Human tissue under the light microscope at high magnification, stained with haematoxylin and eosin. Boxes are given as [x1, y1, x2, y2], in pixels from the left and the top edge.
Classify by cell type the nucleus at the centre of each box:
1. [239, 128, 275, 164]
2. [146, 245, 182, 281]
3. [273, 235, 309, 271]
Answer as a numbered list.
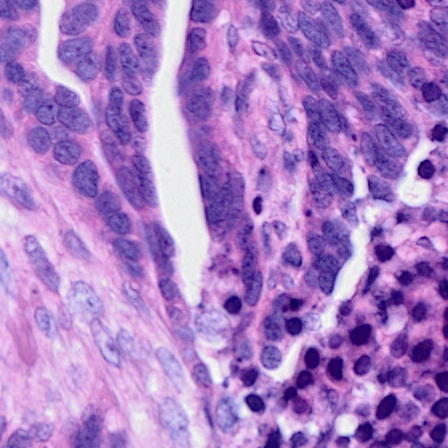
1. fibroblast
2. carcinoma cell
3. macrophage or monocyte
